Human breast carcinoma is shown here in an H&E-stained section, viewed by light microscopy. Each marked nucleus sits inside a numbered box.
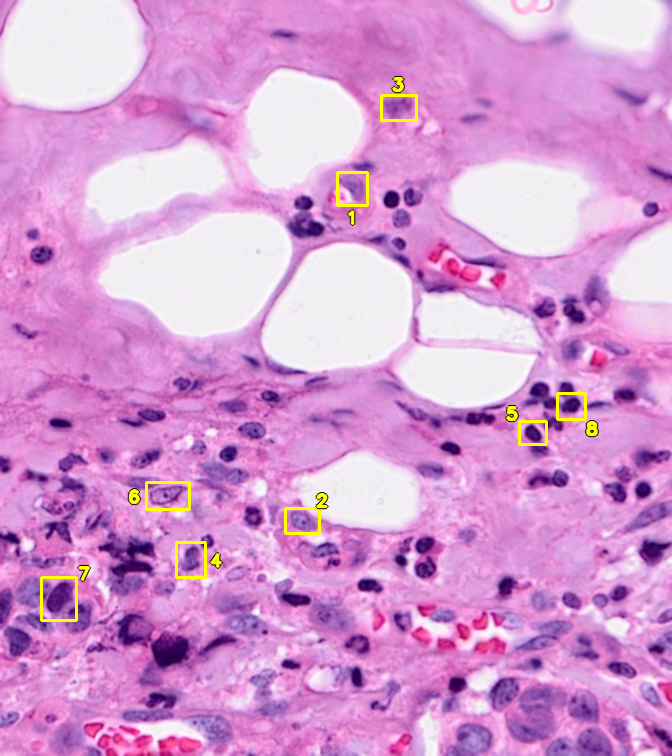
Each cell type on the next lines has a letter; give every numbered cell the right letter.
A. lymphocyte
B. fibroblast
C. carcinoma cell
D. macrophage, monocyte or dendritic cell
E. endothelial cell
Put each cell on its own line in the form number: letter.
1: E
2: E
3: B
4: D
5: A
6: D
7: C
8: A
